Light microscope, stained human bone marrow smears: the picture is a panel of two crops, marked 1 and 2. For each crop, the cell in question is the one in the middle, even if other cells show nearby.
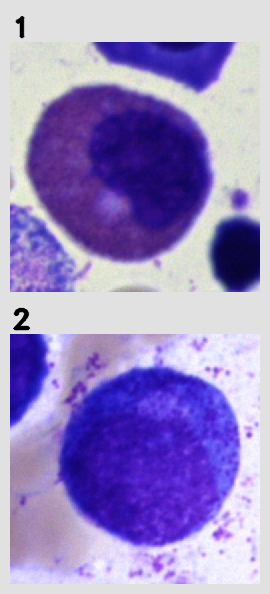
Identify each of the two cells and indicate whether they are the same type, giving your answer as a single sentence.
No, crop 1 carries an eosinophil at its centre, and crop 2 carries a promyelocyte.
